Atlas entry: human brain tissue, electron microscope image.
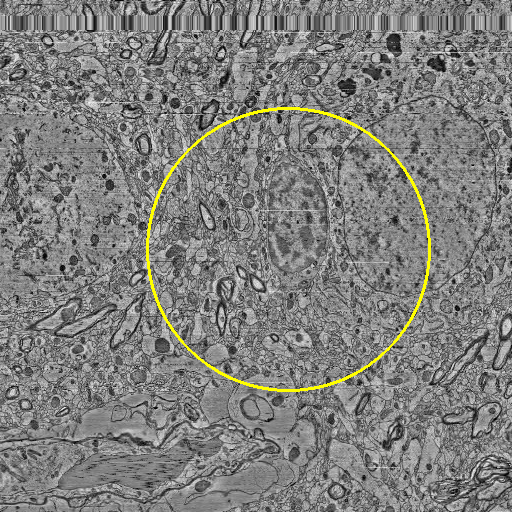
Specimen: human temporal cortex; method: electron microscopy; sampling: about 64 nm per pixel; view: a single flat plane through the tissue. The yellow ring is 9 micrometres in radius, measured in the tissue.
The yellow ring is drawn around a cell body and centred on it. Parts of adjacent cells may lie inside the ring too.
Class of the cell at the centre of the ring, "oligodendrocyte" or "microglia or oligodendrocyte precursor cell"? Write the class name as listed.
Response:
oligodendrocyte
